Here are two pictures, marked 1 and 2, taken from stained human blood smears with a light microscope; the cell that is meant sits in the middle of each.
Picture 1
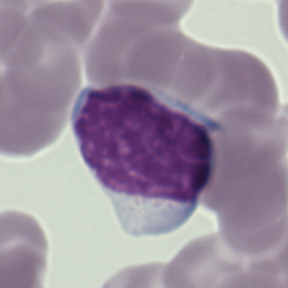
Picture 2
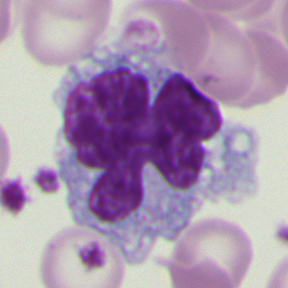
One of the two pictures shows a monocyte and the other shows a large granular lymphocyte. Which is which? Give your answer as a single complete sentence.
In picture 1 the cell is a large granular lymphocyte; in picture 2, a monocyte.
